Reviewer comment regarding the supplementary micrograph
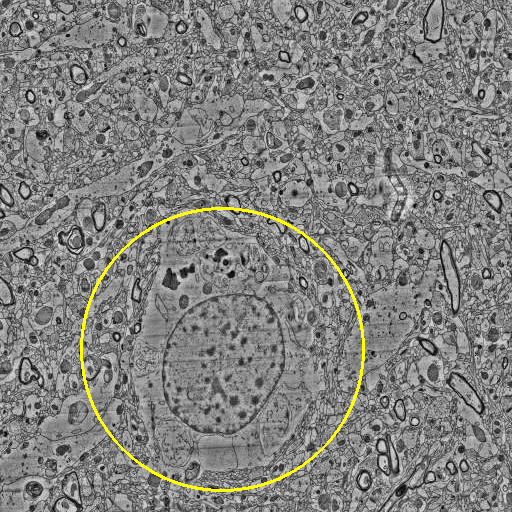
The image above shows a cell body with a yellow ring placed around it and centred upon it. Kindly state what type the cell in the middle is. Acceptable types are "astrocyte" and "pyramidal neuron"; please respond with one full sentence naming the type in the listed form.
In the image above, the cell on which the yellow ring is centred is an astrocyte.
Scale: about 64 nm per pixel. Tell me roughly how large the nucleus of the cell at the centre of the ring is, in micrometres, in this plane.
The nucleus appears roughly 9 by 8 micrometres in this plane.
